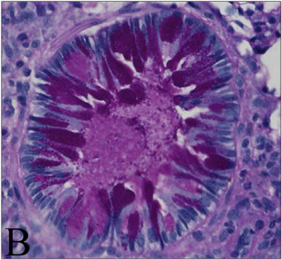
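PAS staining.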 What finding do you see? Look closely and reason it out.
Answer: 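The airway lining is crowded with tall cells whose apical cytoplasm is filled with magenta material. Nuclei of these cells are pushed toward the base. The lumen is filled with magenta granular material.
Hence: goblet cell hyperplasia.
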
